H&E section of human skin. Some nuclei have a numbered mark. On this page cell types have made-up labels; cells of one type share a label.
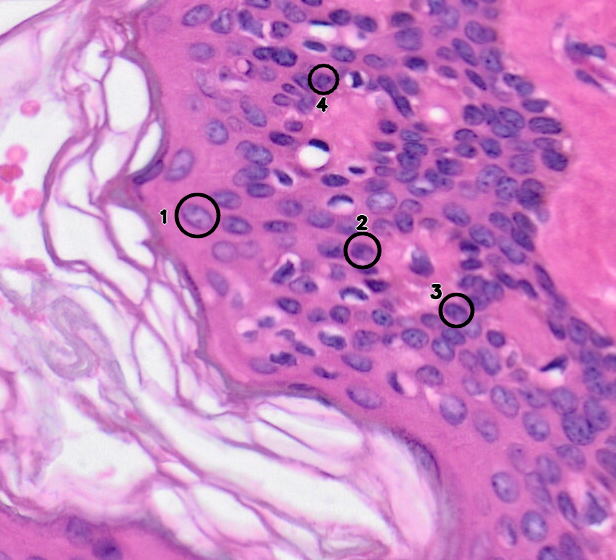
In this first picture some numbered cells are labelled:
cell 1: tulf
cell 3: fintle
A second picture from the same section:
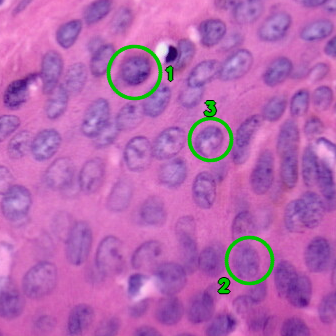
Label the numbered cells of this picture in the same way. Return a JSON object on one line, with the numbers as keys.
{"1": "fintle", "2": "tulf", "3": "tulf"}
